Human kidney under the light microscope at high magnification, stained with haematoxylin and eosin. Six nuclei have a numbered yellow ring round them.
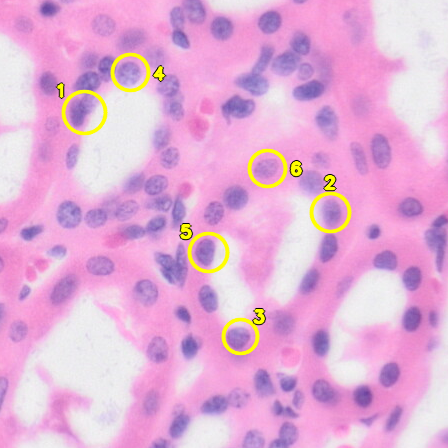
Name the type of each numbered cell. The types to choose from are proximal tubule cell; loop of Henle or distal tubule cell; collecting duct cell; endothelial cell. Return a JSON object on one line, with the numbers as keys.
{"1": "collecting duct cell", "2": "loop of Henle or distal tubule cell", "3": "loop of Henle or distal tubule cell", "4": "collecting duct cell", "5": "loop of Henle or distal tubule cell", "6": "loop of Henle or distal tubule cell"}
